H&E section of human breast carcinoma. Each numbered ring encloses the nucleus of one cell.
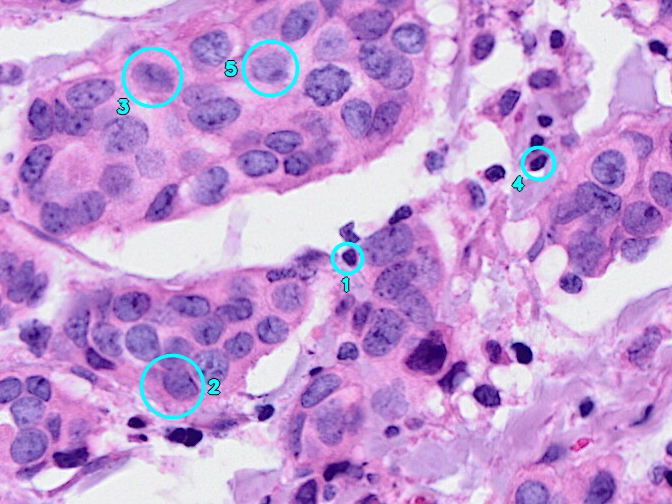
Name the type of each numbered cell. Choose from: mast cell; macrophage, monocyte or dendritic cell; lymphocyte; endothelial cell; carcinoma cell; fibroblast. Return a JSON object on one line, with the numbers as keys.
{"1": "lymphocyte", "2": "carcinoma cell", "3": "carcinoma cell", "4": "lymphocyte", "5": "carcinoma cell"}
